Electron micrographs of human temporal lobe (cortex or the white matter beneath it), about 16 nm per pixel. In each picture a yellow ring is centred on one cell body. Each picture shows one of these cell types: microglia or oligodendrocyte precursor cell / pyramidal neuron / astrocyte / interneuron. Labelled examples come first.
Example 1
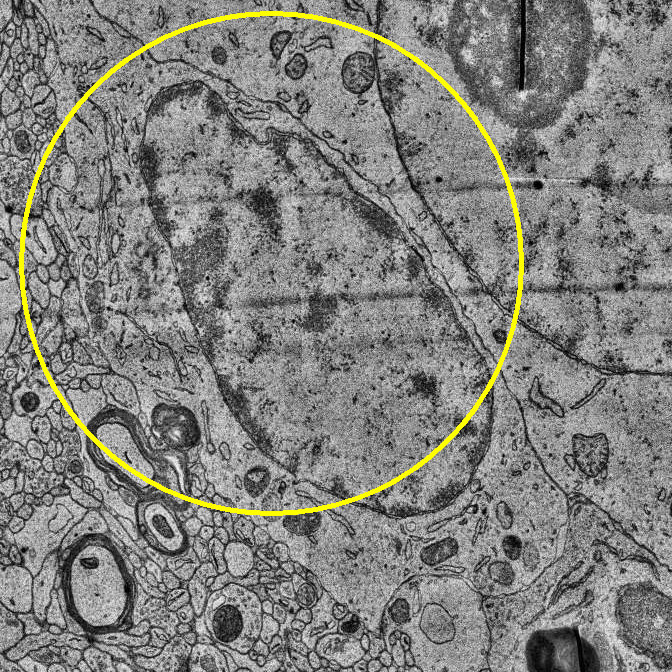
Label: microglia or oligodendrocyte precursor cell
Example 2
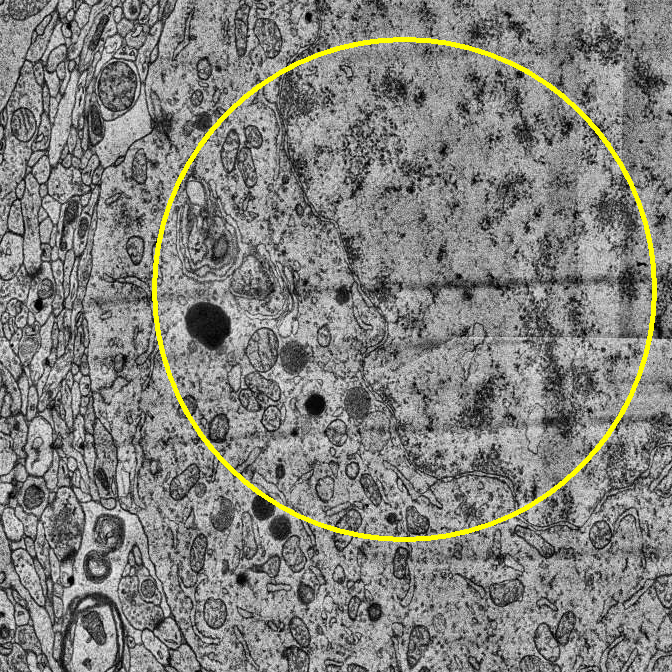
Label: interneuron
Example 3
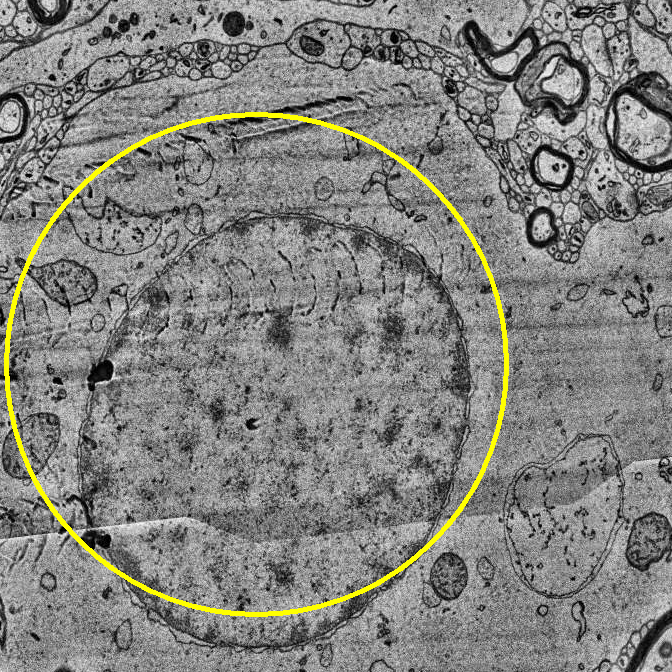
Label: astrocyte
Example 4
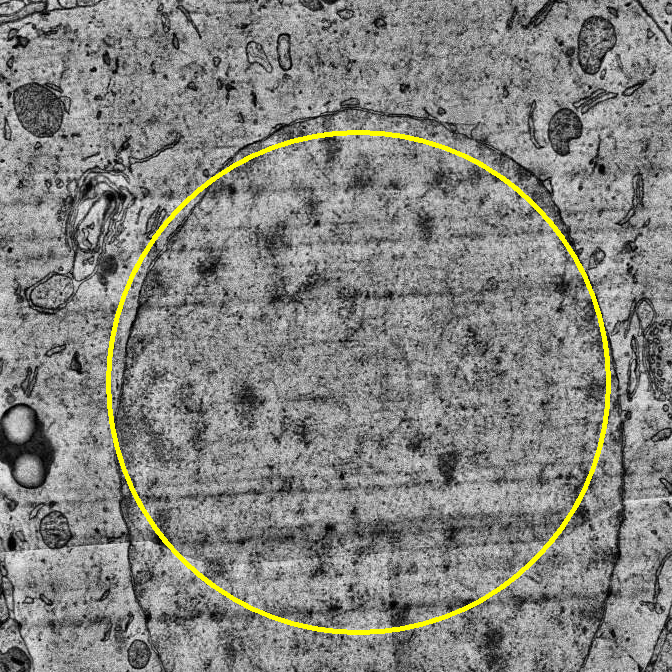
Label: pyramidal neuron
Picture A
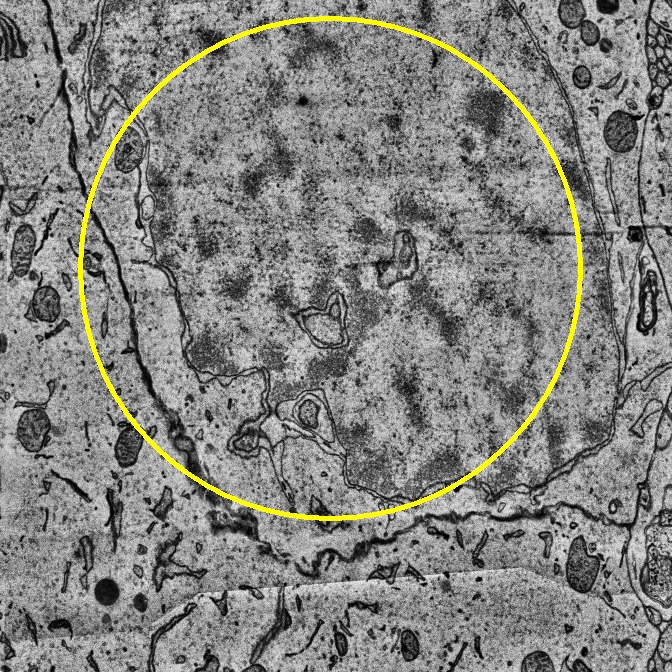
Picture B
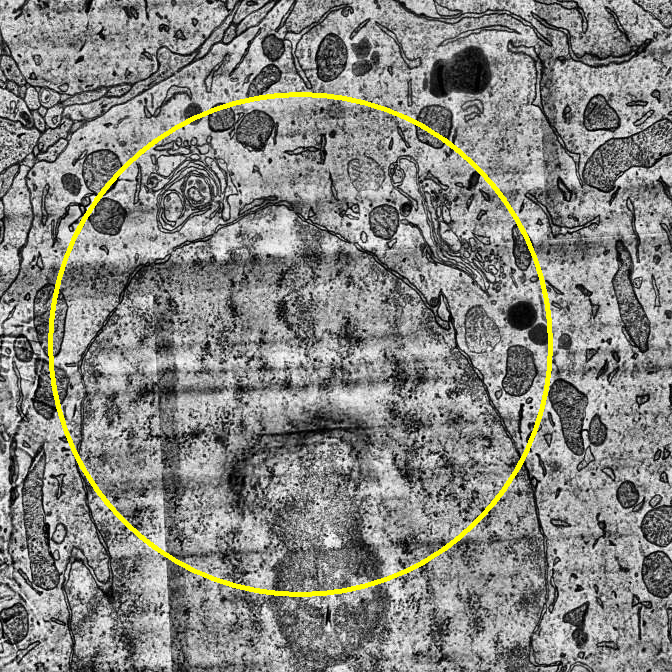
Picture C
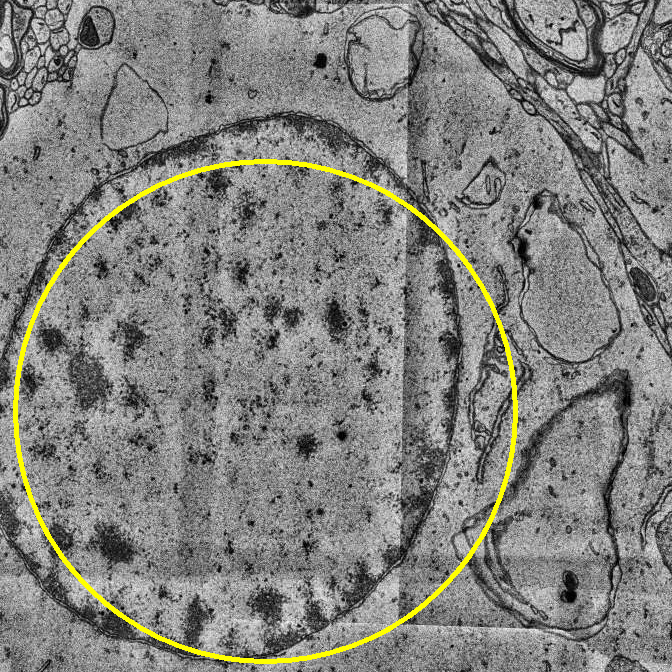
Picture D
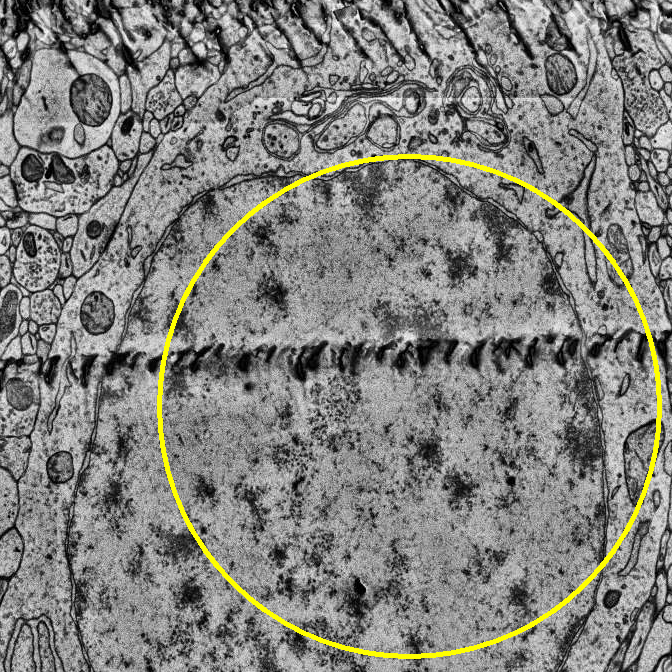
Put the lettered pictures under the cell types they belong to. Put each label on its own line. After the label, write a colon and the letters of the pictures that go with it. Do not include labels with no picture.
astrocyte: C
interneuron: A, B, D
